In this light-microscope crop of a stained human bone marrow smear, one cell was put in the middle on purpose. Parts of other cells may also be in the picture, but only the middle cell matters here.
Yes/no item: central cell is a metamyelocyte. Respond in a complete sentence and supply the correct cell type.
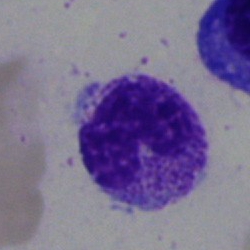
Yes, the cell at the centre of this crop is identified as a metamyelocyte.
